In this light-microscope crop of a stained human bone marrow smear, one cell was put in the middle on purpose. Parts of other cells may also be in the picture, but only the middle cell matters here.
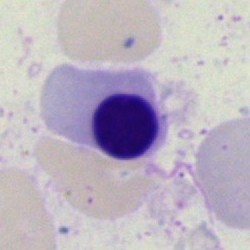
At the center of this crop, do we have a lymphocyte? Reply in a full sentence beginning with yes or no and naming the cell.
No, the cell sitting in the middle is a normoblast, and it is not a lymphocyte.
